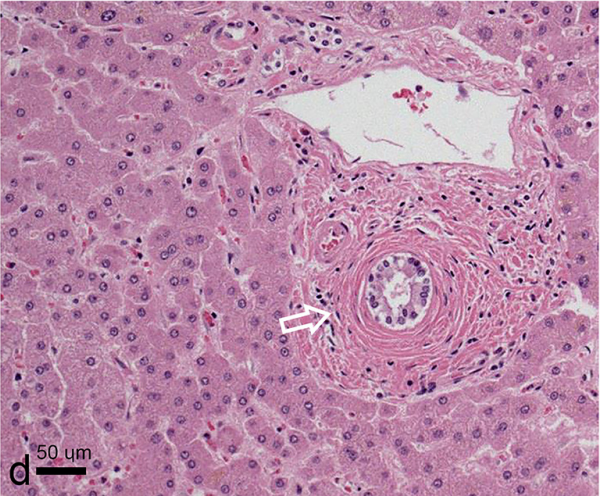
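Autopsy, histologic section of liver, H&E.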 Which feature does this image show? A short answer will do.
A: Portal triad.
